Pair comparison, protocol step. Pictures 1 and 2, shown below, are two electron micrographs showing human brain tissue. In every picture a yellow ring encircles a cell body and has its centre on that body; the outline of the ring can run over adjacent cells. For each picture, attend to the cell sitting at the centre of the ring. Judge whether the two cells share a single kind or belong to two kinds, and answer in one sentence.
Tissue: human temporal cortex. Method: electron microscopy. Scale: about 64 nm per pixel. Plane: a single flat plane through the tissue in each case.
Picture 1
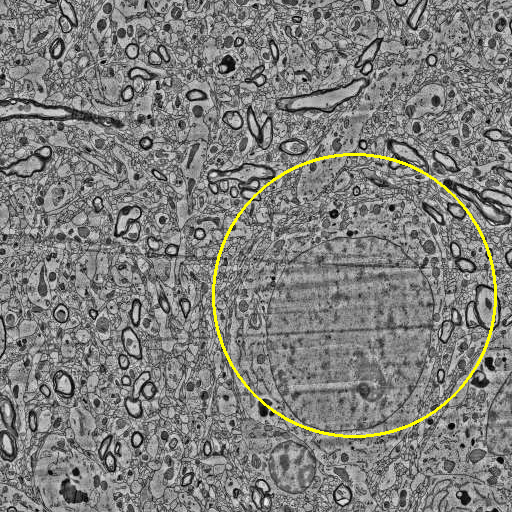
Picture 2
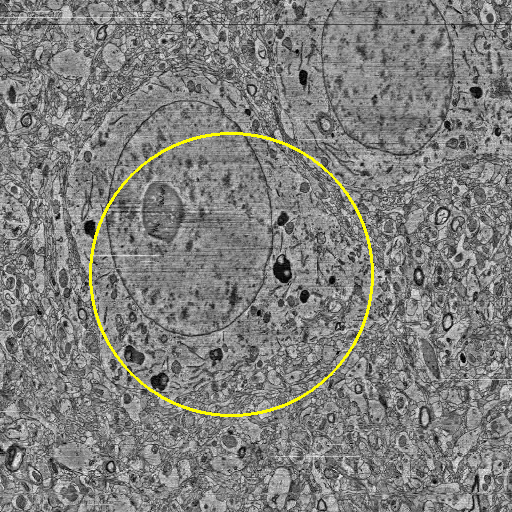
The two cells at the ring centres in Picture 1 and Picture 2 share a single kind.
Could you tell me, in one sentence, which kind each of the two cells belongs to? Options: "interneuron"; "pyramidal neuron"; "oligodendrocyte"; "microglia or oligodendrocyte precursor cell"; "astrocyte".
The cell at the ring centre is a pyramidal neuron in both pictures.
